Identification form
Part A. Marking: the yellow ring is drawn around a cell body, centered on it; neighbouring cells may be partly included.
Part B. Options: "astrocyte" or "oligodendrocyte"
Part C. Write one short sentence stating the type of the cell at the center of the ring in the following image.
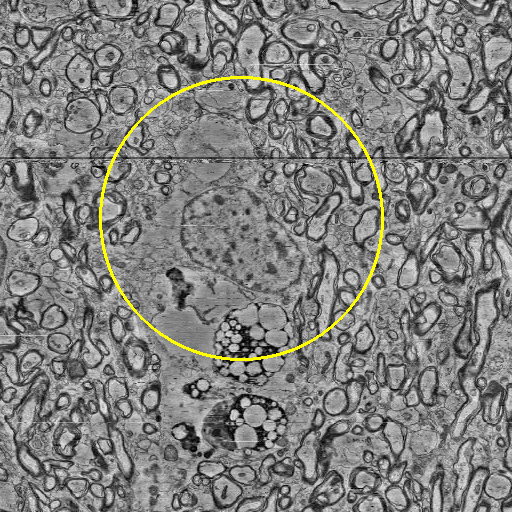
The center of the ring holds an astrocyte.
